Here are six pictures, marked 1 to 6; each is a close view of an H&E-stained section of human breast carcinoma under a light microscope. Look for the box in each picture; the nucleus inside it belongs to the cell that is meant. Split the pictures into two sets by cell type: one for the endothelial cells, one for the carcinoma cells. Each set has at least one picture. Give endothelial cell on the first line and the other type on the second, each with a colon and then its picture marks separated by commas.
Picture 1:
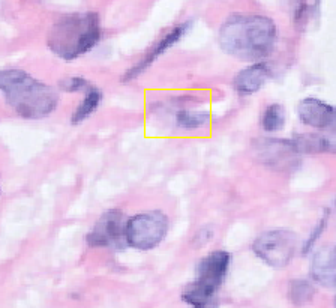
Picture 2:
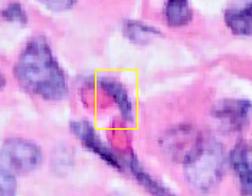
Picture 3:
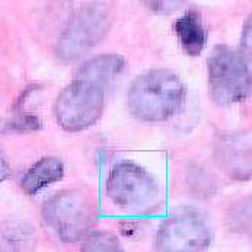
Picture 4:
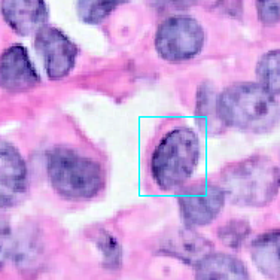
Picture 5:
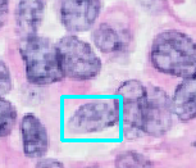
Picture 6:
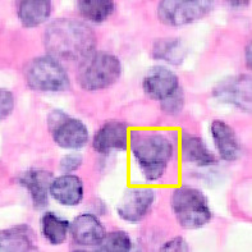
endothelial cell: 1, 2
carcinoma cell: 3, 4, 5, 6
